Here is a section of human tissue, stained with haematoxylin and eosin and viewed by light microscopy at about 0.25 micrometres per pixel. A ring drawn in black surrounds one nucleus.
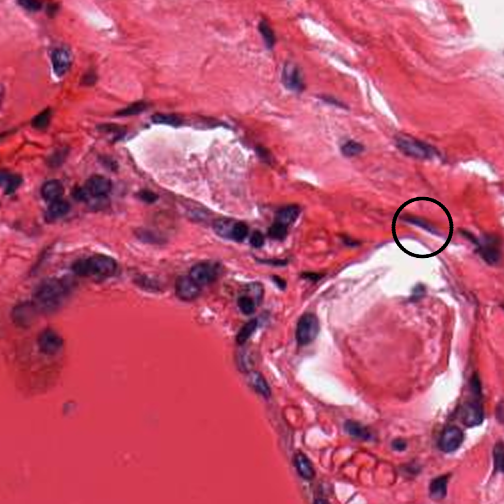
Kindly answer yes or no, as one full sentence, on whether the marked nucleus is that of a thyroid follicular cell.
No, it is a supporting cell whose nucleus is marked, not a thyroid follicular cell.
